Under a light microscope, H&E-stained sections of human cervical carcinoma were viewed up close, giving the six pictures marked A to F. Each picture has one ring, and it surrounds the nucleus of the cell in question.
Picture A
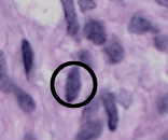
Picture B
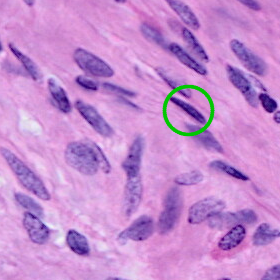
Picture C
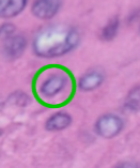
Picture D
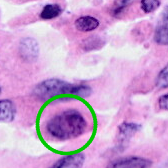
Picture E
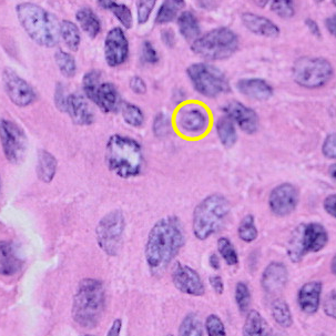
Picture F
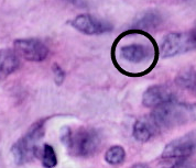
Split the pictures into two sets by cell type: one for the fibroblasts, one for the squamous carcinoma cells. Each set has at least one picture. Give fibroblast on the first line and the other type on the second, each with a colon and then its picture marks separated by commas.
fibroblast: A, B, F
squamous carcinoma cell: C, D, E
